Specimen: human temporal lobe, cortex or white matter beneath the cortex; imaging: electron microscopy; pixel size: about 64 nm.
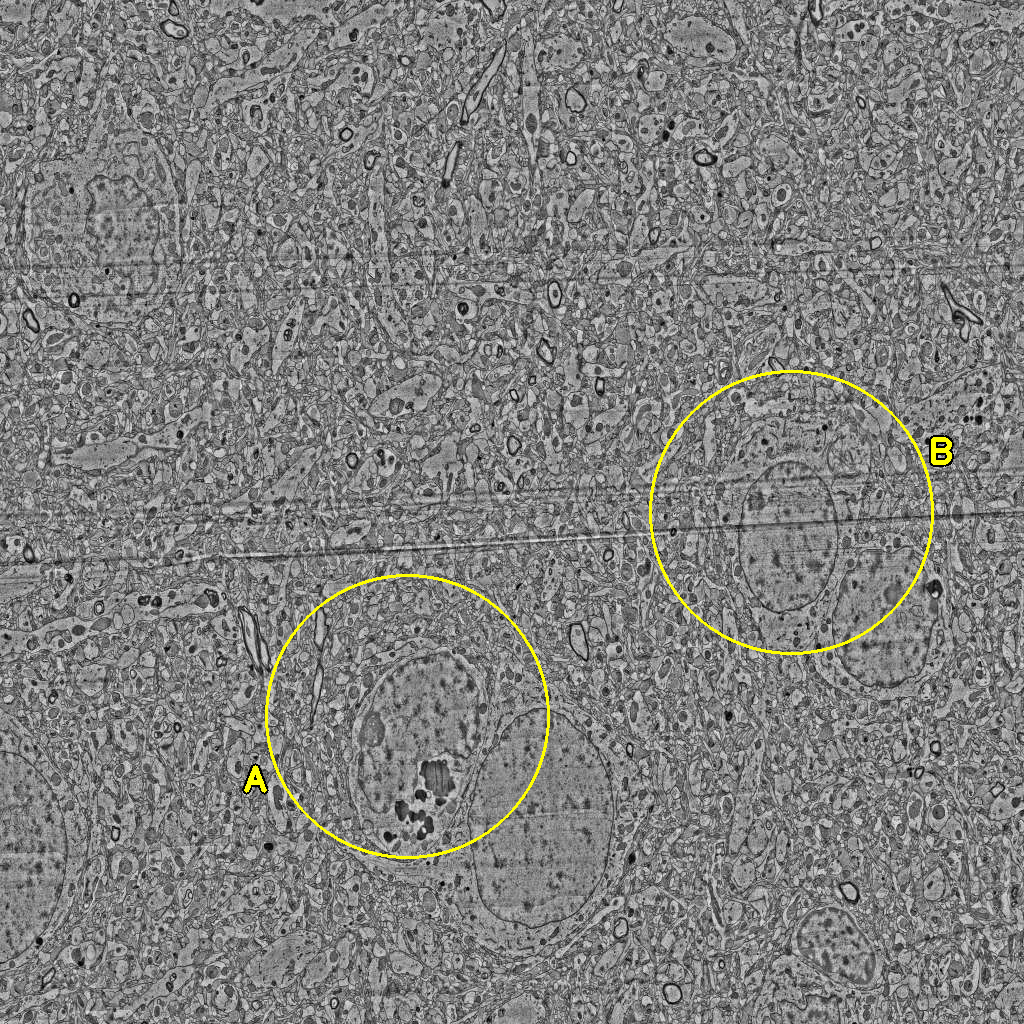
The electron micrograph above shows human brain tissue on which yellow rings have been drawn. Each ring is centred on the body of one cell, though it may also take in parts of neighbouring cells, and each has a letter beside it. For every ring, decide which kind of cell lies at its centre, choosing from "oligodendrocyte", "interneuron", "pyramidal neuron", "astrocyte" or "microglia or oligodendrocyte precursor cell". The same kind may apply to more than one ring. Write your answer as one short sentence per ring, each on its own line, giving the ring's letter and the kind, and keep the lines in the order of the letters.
Ring A is centred on an interneuron.
Ring B is centred on a pyramidal neuron.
